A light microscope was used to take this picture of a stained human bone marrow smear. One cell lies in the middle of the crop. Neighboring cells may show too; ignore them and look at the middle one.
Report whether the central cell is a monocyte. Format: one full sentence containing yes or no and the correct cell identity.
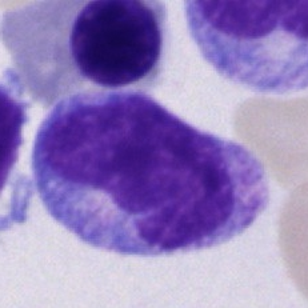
Yes, the cell sitting in the middle of this smear crop is a monocyte.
